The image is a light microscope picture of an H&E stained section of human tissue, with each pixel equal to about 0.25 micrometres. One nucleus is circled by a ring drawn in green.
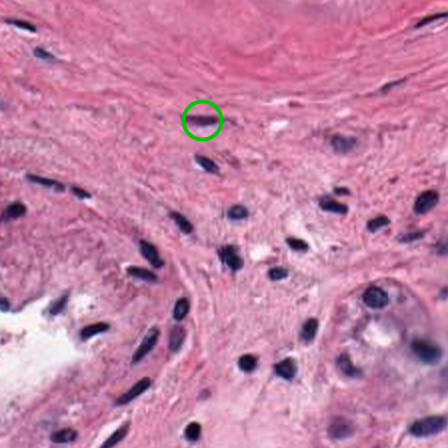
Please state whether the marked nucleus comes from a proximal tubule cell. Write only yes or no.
no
